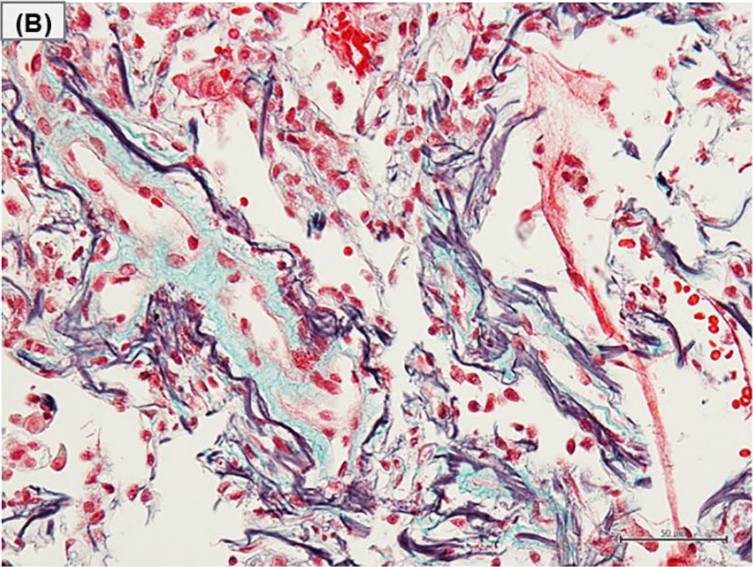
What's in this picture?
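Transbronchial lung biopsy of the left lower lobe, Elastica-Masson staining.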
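Dark purple-black wavy fibers run alongside and through the walls. Nuclei and red blood cells stain red and are scattered through the tissue and the air spaces. The alveolar architecture is distorted, with strands of fibrous tissue separating irregular open spaces.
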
